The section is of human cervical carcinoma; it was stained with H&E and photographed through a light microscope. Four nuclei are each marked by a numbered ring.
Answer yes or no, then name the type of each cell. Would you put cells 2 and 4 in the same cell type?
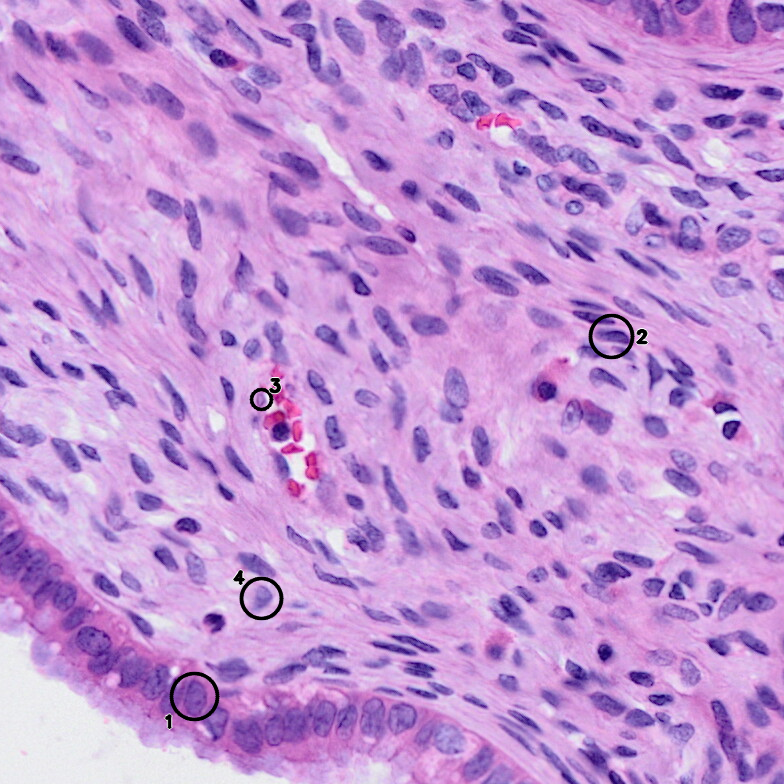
Yes, cells 2 and 4 are both to be classed as fibroblasts.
